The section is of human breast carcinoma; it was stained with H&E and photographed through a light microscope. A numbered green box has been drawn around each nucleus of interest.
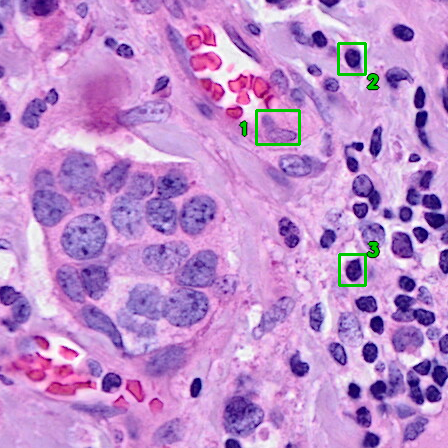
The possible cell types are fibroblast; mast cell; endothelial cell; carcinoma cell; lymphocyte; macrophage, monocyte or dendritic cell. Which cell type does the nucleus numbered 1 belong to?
endothelial cell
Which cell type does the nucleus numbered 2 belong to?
lymphocyte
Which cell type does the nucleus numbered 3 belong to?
lymphocyte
